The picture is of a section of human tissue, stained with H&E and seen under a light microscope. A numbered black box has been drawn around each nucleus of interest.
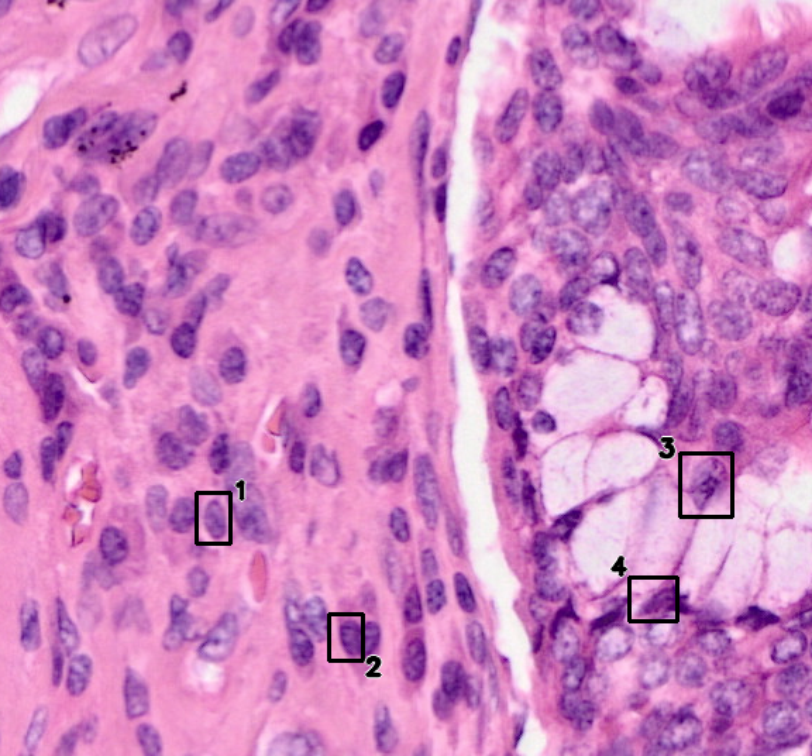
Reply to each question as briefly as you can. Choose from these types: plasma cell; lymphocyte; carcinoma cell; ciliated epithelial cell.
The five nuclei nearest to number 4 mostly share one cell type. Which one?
ciliated epithelial cell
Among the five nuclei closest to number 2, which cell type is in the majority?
plasma cell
